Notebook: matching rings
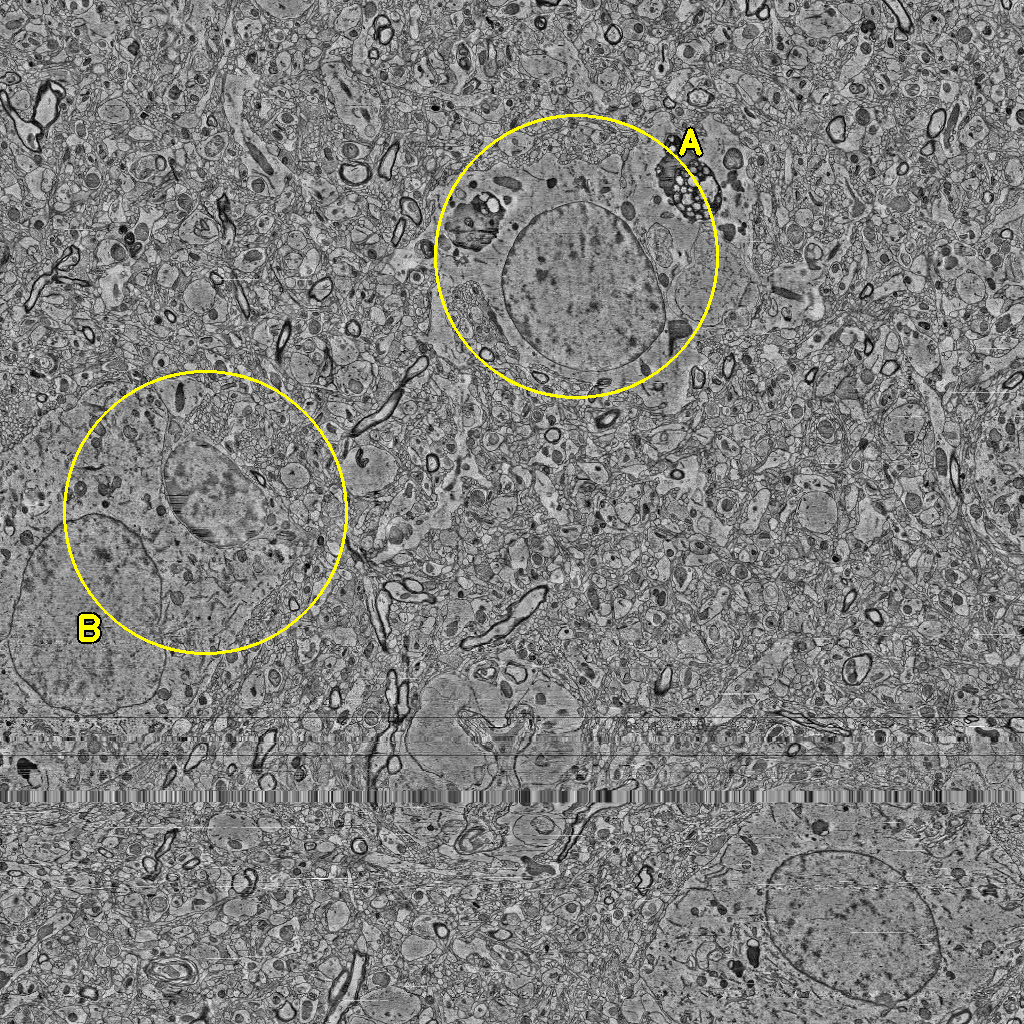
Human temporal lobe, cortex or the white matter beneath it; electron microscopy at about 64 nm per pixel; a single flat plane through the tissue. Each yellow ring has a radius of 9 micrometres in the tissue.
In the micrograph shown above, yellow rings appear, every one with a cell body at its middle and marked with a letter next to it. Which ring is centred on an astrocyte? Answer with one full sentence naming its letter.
A cell of that kind lies at the centre of the ring lettered A.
